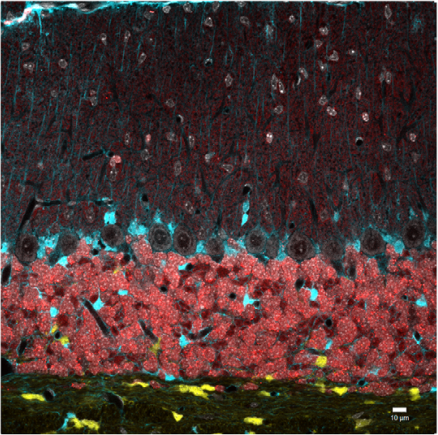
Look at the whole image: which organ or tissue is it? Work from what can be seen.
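A dense layer of tightly packed small cells. A single row of large round cell bodies at the upper border of the dense layer. An outer layer with sparse nuclei crossed by radial cyan fibres. On this evidence: cerebellum.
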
